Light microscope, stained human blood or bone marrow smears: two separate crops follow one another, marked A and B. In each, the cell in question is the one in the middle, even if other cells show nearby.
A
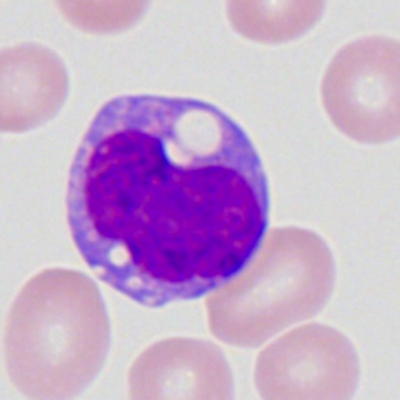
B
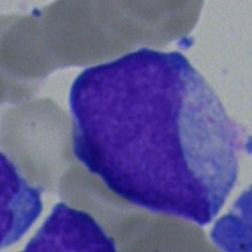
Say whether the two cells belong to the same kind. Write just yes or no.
no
